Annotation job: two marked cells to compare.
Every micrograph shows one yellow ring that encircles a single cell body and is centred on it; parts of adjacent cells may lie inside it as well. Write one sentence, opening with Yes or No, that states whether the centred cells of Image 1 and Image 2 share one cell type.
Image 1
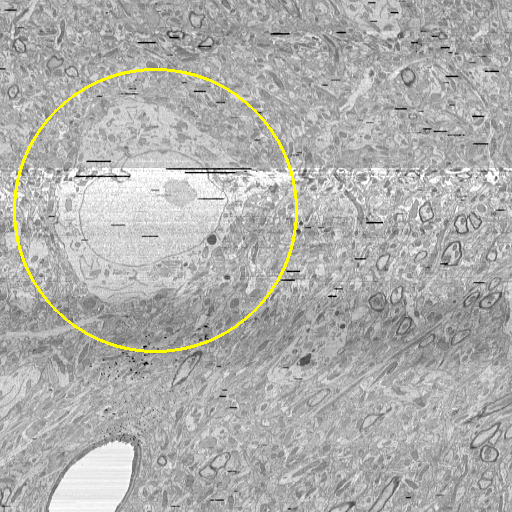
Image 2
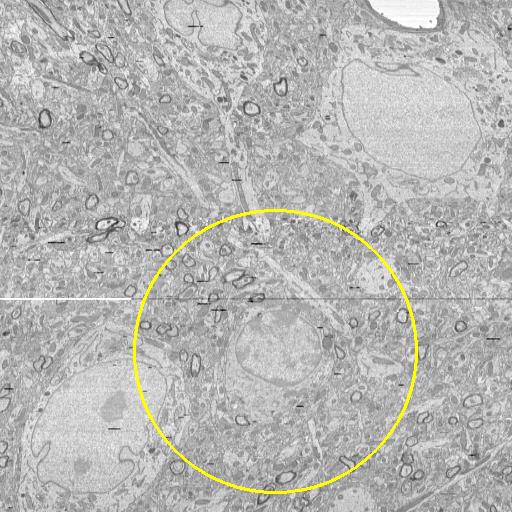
No, the cell centred in Image 1 and the cell centred in Image 2 are of two types.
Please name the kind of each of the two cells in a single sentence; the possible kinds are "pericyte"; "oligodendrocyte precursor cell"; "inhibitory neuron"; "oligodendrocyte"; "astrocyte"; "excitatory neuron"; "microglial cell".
In the first picture the ring is centred on an excitatory neuron, and in the second on an oligodendrocyte.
